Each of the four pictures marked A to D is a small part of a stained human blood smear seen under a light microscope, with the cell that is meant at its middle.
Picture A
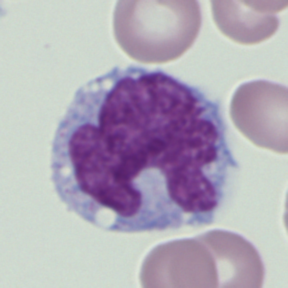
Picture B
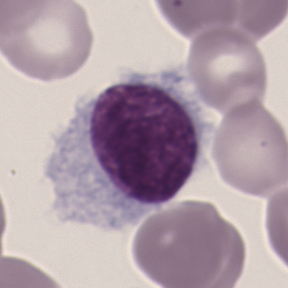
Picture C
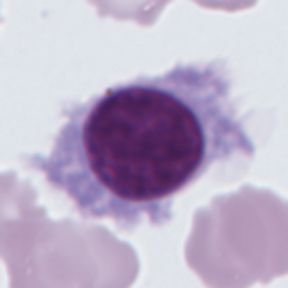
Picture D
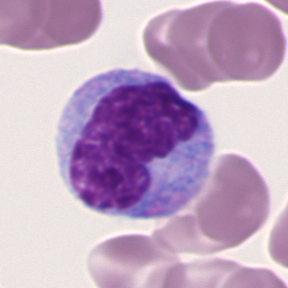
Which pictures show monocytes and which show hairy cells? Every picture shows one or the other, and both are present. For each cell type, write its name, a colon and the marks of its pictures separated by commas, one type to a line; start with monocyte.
monocyte: A, D
hairy cell: B, C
